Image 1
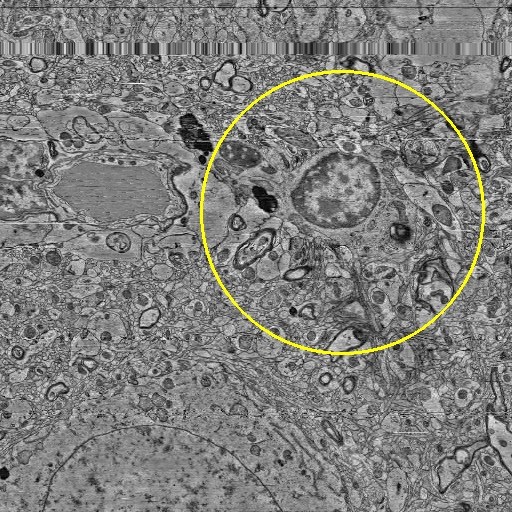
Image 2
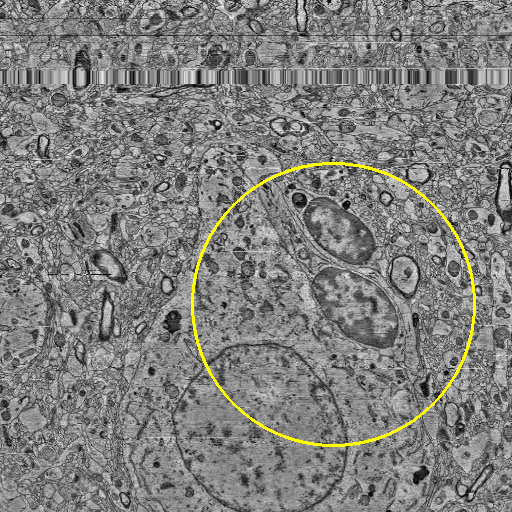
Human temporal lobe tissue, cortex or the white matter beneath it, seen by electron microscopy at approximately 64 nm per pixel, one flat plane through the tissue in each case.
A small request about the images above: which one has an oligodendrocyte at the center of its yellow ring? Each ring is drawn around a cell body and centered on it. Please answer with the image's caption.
Image 1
